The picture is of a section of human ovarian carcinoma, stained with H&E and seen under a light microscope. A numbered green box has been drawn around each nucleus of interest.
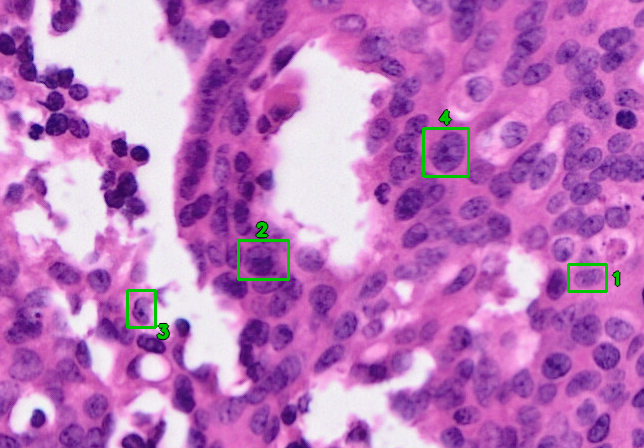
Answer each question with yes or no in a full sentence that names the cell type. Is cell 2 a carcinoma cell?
Yes, for number 2, the cell is a carcinoma cell.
